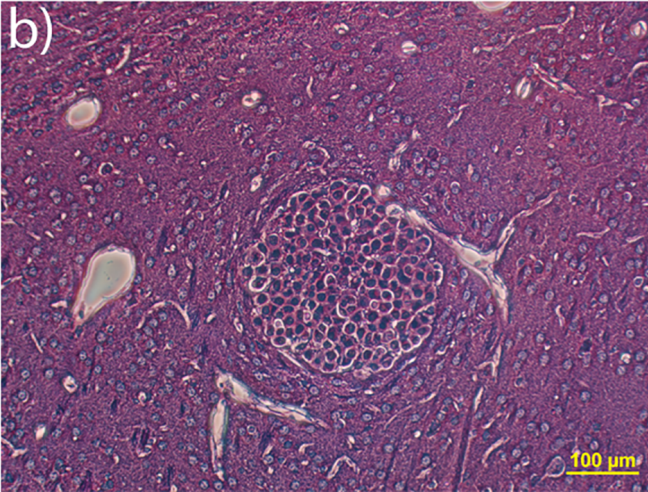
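This is brain tissue with a metastatic tumour, seen as a round, sharply bounded nest of tightly packed cells in the centre of the field. The tumour cells are crowded together, each with a dark nucleus and pale, distinct cell borders, giving the nest a cobblestone look. Around it lies a thin rim of flattened, compressed tissue, and beyond that the pink, finely fibrillar brain tissue with scattered small nuclei. Several blood vessels, some with pale open lumens, run through the surrounding tissue and close to the nest.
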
